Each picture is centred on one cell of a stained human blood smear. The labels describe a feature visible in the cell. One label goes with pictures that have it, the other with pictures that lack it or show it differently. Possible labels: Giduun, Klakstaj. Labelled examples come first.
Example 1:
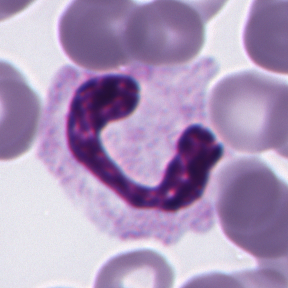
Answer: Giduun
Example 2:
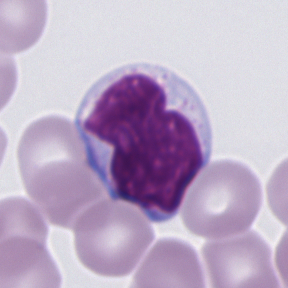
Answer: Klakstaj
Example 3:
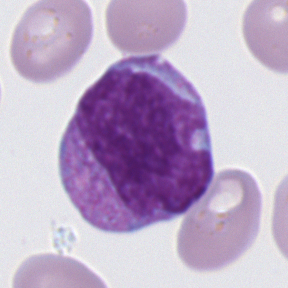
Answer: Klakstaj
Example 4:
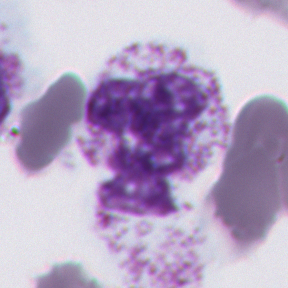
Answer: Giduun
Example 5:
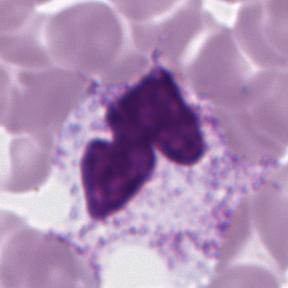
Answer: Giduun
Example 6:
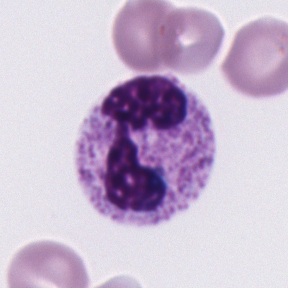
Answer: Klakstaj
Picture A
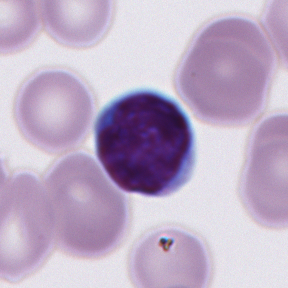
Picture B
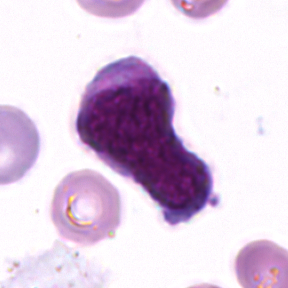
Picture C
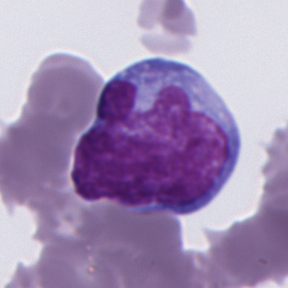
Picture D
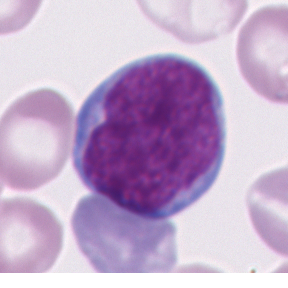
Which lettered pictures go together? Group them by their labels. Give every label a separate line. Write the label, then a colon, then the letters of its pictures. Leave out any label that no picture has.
Giduun: B
Klakstaj: A, C, D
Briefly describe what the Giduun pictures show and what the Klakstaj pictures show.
Seen in Giduun: ragged outline or projections; seen in Klakstaj: smooth outline.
